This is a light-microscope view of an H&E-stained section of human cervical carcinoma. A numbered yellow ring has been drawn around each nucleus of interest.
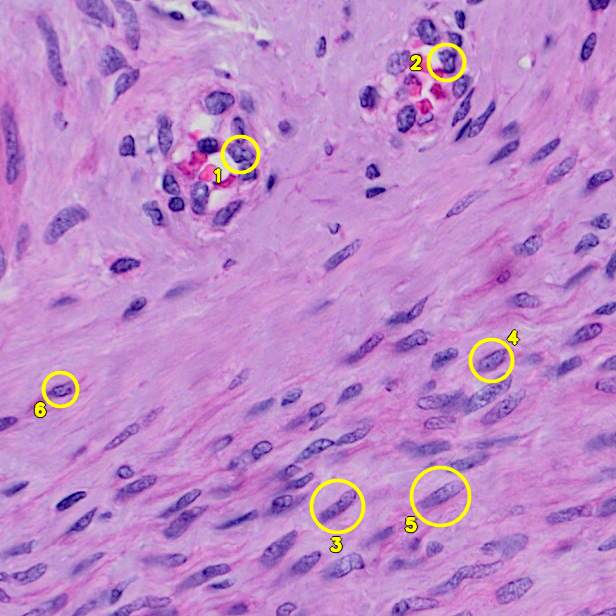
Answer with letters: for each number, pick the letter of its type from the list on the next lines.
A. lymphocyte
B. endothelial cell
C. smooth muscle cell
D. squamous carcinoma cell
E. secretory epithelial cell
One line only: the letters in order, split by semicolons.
B; B; C; C; C; C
